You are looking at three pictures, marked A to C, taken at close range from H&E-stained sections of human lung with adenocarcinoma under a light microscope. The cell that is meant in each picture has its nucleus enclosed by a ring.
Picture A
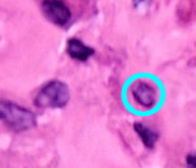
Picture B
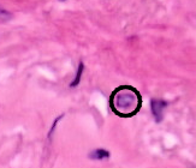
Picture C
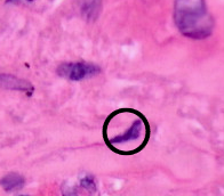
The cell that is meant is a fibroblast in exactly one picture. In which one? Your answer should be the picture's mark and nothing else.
C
